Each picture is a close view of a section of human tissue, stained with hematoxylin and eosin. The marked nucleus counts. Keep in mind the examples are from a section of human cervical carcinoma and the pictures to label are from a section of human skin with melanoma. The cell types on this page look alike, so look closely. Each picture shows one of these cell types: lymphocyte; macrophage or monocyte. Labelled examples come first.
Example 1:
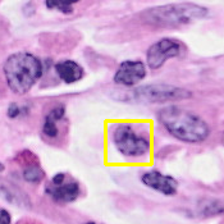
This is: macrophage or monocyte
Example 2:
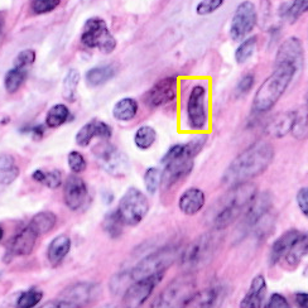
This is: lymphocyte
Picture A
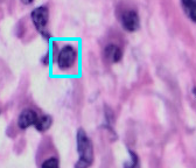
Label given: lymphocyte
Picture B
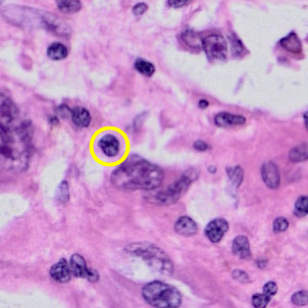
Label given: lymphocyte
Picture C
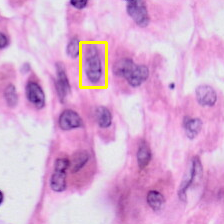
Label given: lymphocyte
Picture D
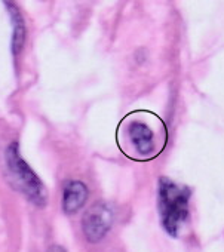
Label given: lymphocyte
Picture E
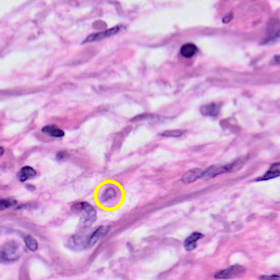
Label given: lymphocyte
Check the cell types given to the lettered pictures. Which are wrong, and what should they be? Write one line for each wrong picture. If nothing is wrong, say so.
C should be macrophage or monocyte, not lymphocyte
E should be macrophage or monocyte, not lymphocyte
